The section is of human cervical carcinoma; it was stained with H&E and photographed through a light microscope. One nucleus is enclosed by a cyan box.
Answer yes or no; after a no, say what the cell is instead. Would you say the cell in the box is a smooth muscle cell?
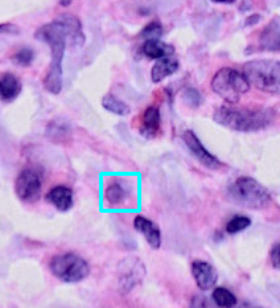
No, it is a macrophage or monocyte.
